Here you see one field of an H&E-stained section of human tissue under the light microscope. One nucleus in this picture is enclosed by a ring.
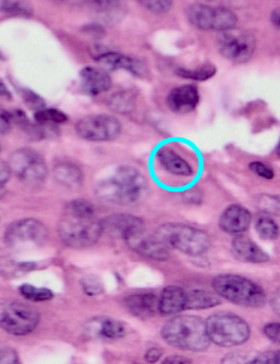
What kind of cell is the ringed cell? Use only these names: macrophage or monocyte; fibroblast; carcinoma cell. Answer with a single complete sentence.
The classification of the ringed cell is as a macrophage or monocyte.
